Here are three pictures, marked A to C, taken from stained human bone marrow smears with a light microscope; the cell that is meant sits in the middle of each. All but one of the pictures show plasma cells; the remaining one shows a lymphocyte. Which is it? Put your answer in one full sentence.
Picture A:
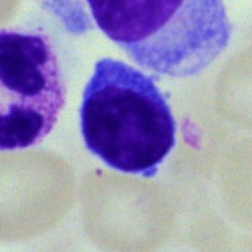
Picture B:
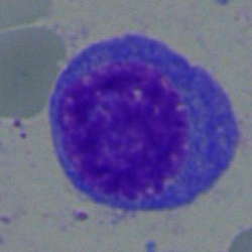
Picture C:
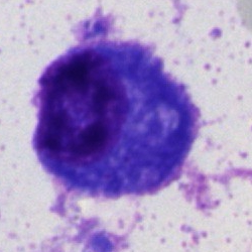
The picture with the lymphocyte is A.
